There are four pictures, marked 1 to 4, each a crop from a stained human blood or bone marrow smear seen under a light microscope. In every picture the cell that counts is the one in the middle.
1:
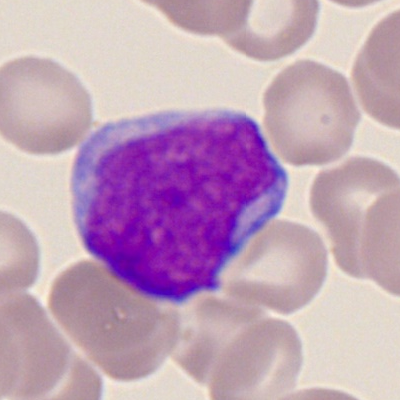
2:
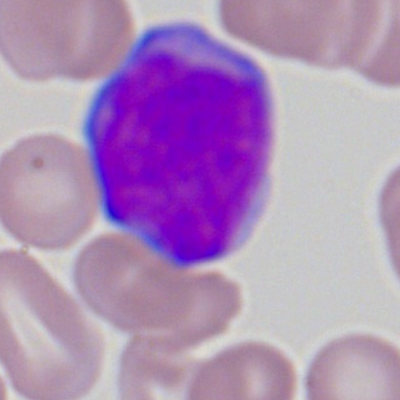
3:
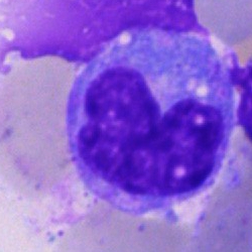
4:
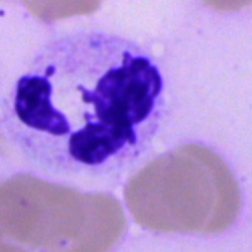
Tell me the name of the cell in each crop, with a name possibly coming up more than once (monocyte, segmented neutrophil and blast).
1: blast
2: blast
3: monocyte
4: segmented neutrophil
